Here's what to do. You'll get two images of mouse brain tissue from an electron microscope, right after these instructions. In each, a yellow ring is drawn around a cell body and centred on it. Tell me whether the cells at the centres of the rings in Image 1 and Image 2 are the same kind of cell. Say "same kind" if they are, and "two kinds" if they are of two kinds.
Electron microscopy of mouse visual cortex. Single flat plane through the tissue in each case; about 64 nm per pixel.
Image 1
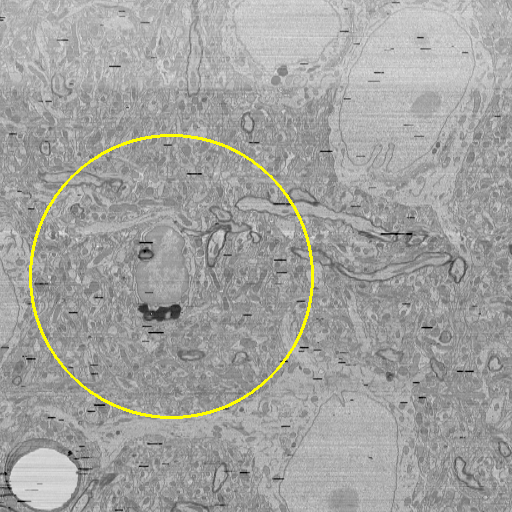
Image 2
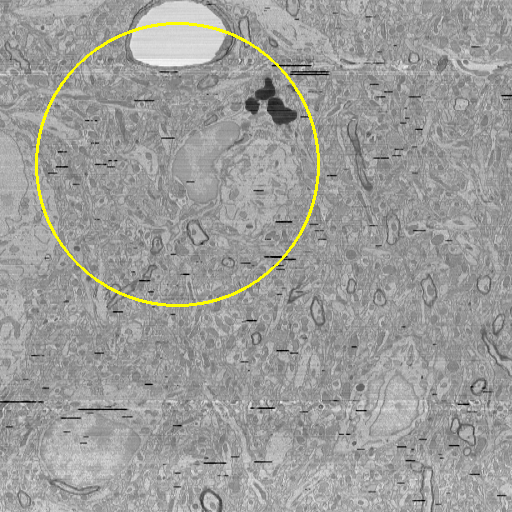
same kind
